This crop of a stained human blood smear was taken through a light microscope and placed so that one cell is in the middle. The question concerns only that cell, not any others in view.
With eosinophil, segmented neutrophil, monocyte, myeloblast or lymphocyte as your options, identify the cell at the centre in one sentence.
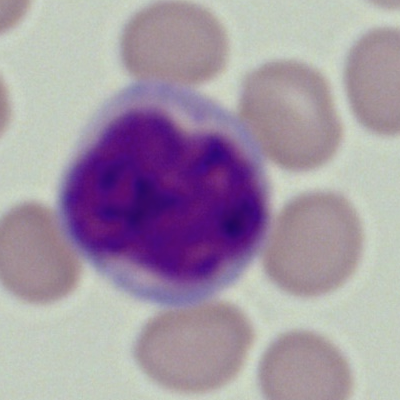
In this smear crop, the middle cell is a monocyte.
